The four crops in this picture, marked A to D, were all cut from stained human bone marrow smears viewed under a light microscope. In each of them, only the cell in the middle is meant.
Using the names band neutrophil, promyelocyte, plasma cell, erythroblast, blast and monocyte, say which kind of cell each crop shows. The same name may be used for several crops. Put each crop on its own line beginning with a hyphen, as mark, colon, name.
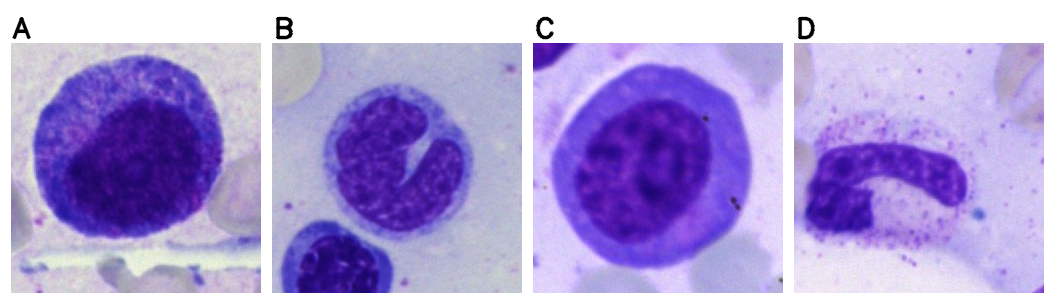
- A: promyelocyte
- B: monocyte
- C: blast
- D: band neutrophil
